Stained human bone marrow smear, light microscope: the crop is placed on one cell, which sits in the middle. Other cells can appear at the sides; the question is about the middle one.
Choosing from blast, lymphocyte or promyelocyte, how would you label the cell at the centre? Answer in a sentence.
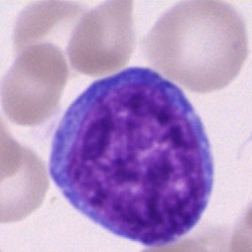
The cell of interest, in the center, is a blast.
